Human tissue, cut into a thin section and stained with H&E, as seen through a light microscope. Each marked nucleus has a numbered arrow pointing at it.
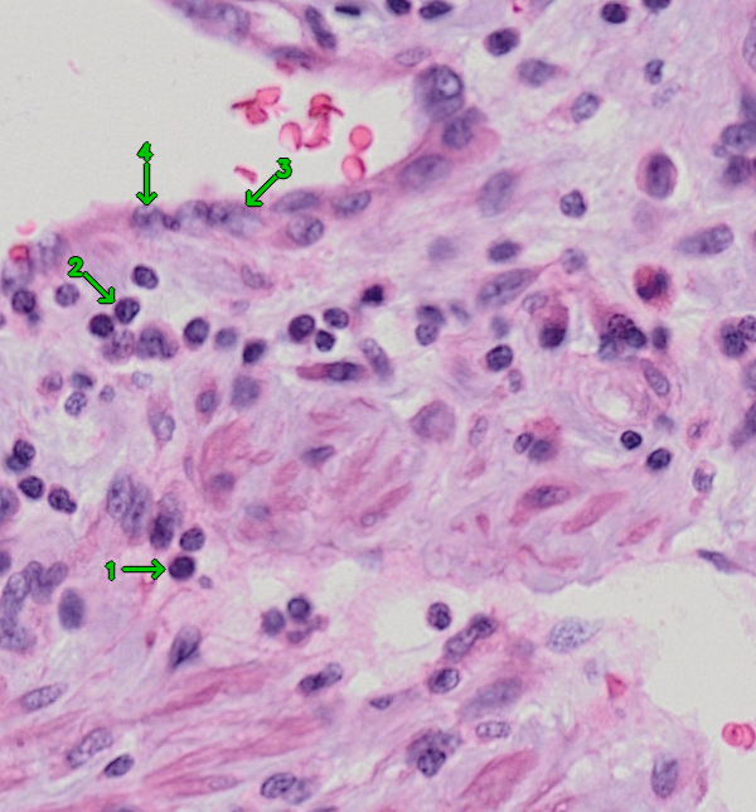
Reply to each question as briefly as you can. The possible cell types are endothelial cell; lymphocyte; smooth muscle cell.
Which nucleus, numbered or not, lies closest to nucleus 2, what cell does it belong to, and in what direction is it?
a lymphocyte below and to the left of nucleus 2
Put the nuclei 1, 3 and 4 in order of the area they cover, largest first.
3, 4, 1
